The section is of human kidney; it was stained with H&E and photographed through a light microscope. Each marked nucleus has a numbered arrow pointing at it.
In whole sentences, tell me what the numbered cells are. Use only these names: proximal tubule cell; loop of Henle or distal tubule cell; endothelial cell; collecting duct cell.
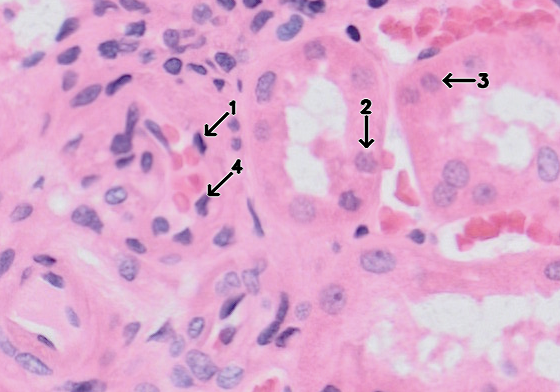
Cell 1 is an endothelial cell, cell 2 is a proximal tubule cell, cell 3 is a proximal tubule cell and cell 4 is an endothelial cell.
